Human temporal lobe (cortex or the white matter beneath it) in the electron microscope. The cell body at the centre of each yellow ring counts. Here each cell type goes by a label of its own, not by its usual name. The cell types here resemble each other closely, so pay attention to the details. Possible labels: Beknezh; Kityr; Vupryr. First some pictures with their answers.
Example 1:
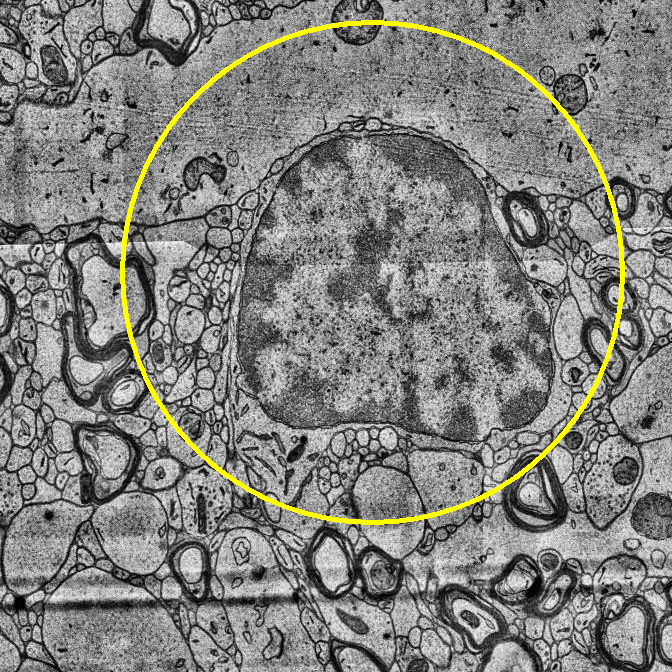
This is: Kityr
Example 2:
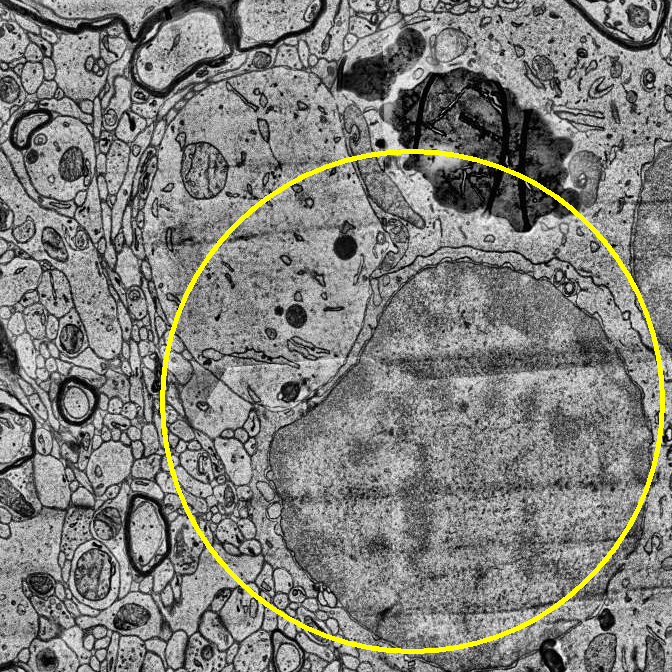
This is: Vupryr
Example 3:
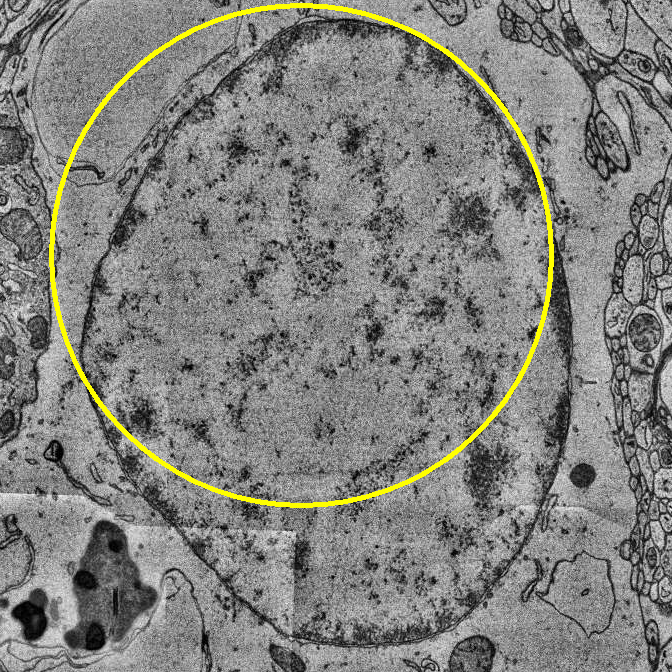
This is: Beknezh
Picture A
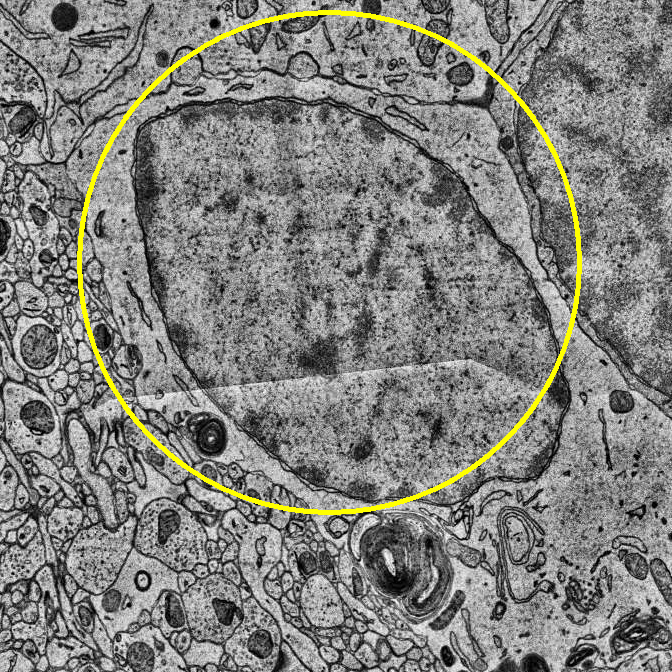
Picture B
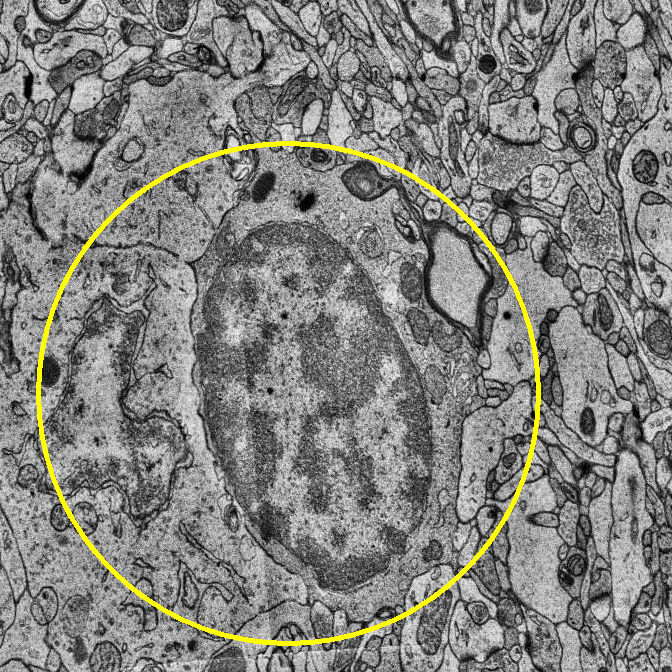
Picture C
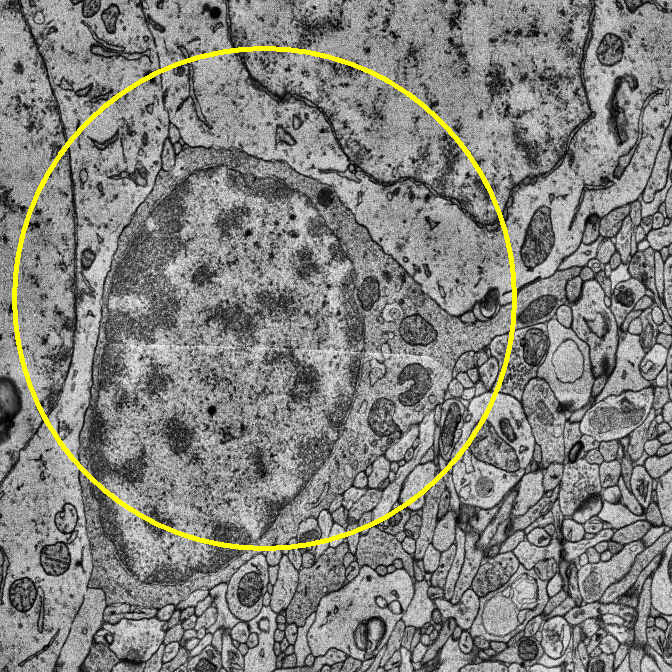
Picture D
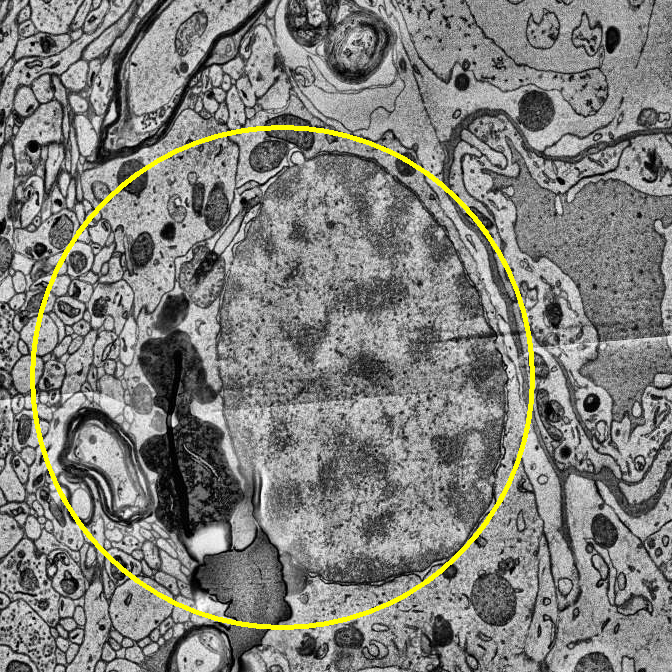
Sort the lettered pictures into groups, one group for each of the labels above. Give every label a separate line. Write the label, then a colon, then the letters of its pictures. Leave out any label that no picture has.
Kityr: A
Vupryr: B, C, D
